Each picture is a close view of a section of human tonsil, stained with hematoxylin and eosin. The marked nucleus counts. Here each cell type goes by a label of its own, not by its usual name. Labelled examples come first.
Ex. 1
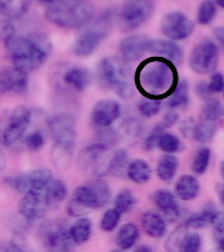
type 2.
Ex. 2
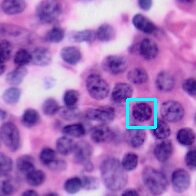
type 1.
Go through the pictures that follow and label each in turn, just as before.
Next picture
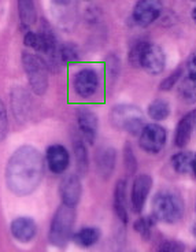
type 1.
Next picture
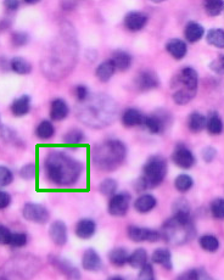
type 2.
